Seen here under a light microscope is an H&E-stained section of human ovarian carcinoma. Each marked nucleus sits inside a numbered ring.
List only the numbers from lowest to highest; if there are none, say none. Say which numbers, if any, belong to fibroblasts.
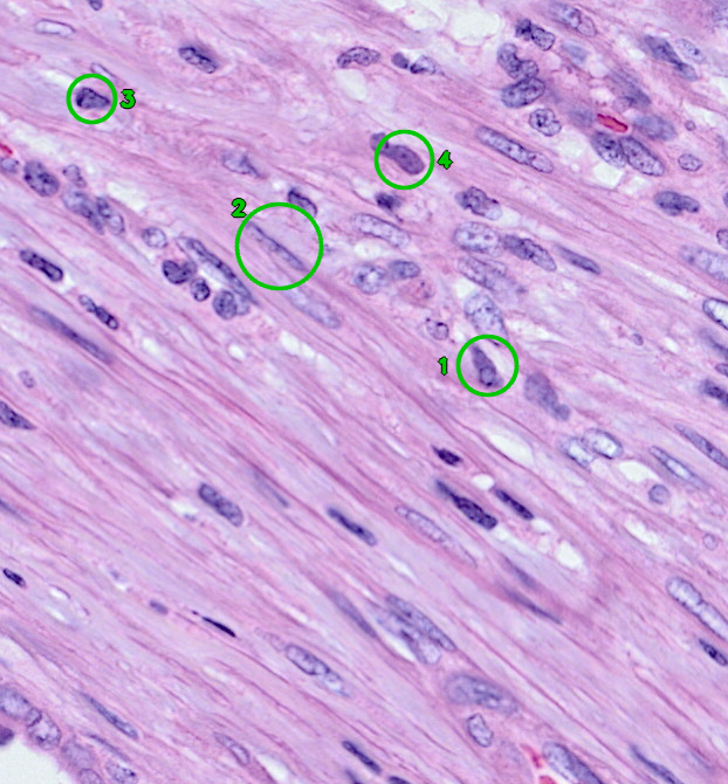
1, 2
